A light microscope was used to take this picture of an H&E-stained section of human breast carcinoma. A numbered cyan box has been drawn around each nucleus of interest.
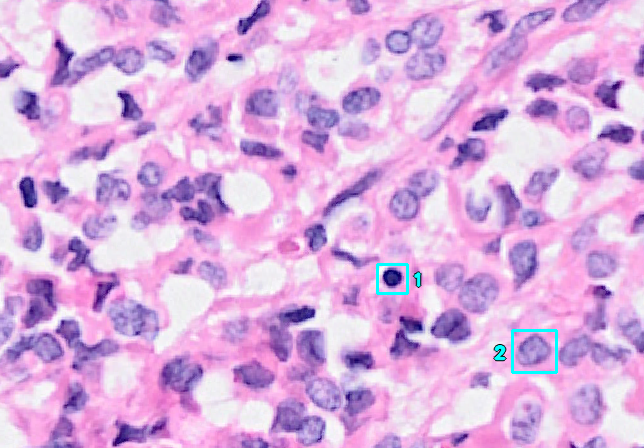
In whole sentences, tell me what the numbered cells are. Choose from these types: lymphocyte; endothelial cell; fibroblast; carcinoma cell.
Cell 1 is a lymphocyte and cell 2 is a carcinoma cell.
